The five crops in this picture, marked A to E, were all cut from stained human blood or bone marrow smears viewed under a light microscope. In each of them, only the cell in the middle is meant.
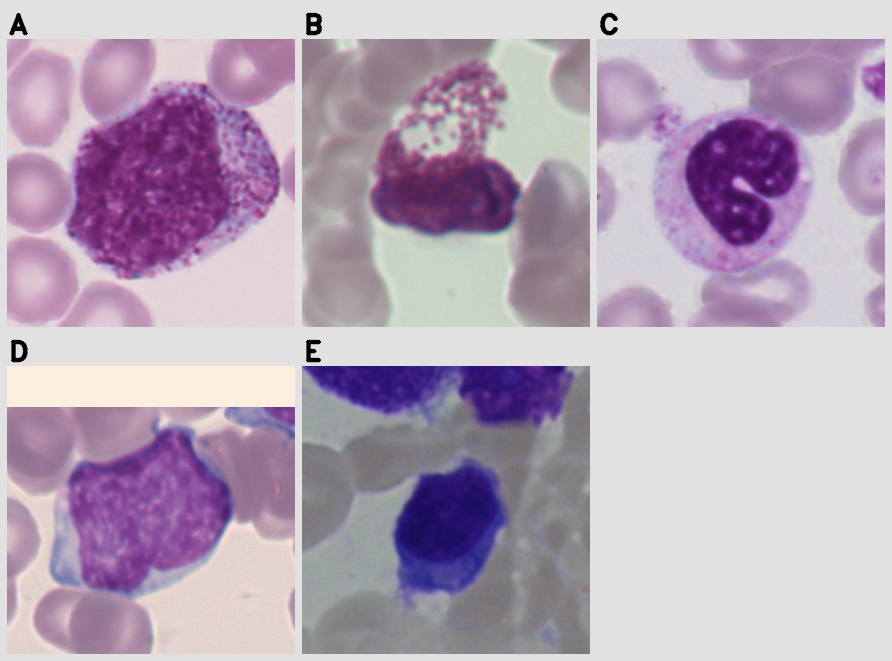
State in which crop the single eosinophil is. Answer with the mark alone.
B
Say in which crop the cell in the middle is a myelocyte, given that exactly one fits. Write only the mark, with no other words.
A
